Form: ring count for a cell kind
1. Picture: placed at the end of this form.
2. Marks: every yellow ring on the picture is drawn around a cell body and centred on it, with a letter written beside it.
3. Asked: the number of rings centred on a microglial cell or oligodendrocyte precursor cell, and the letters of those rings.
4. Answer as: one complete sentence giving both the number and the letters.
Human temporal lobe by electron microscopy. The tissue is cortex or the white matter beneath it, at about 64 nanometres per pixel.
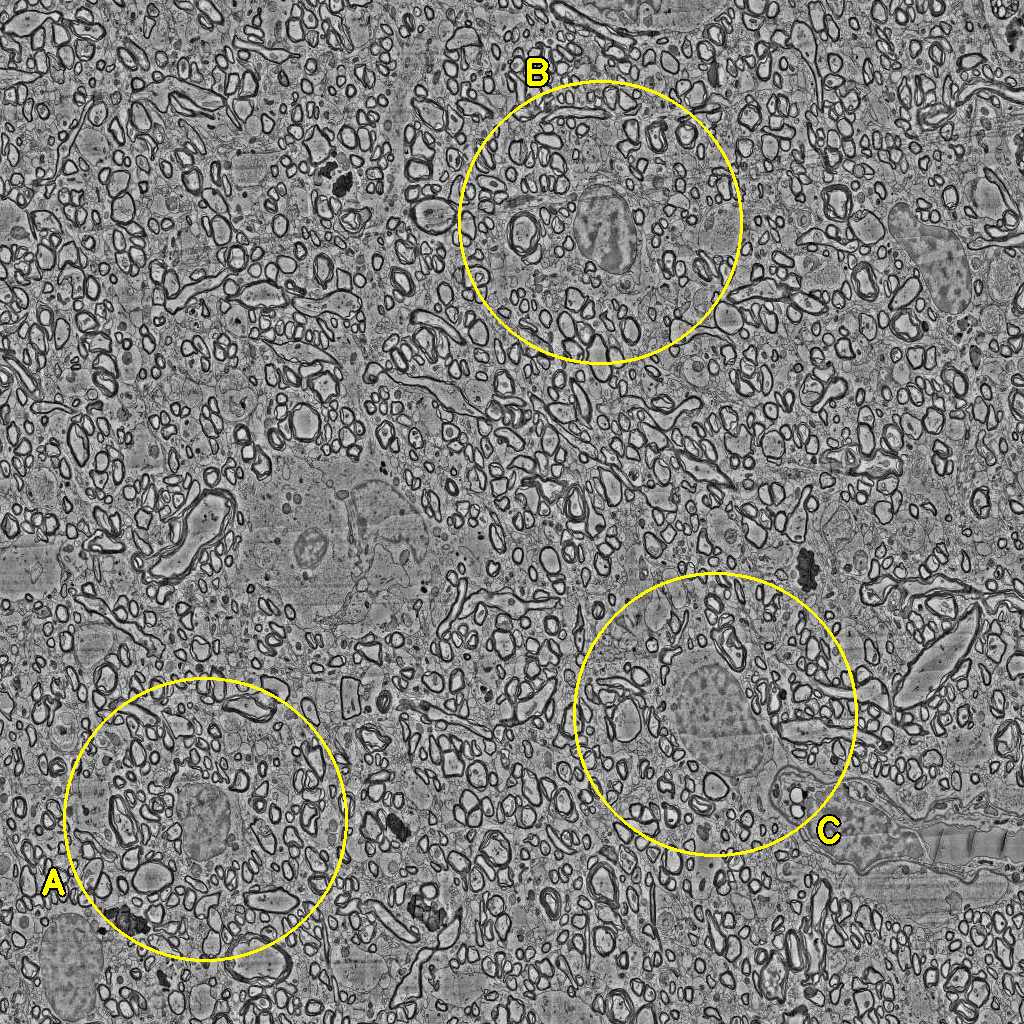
Just one ring encircles a microglial cell or oligodendrocyte precursor cell at its centre, and that ring is marked B.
